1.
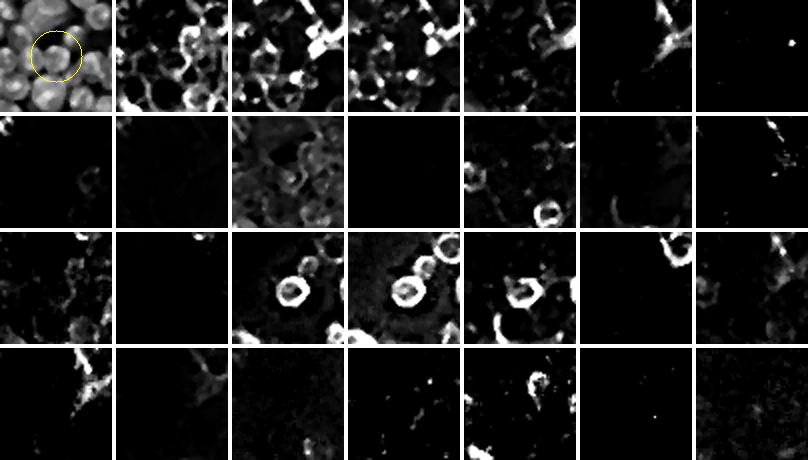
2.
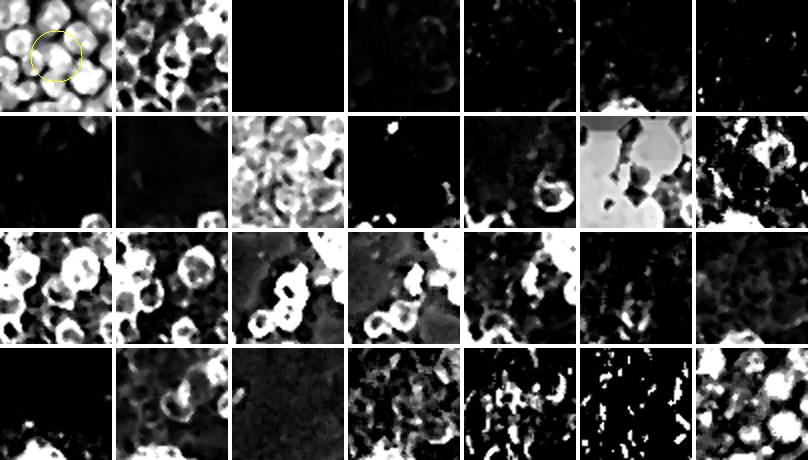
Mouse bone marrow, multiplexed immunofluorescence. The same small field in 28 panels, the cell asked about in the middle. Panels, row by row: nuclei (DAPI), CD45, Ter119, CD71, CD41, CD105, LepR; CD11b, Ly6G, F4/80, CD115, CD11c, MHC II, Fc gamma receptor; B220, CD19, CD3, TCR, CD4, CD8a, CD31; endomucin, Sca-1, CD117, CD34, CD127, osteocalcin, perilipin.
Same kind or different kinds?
Same: CD4 T cells.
